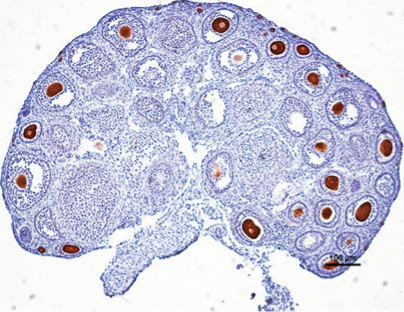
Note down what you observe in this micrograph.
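A section of ovary crowded with follicles of many sizes. Small follicles lie toward the surface, larger ones with several cell layers and some with fluid-filled cavities lie deeper. Between follicles is a loose blue-stained stroma. The brown central cells are the oocytes, the germ cells, and the surrounding layers are granulosa cells of growing follicles.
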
